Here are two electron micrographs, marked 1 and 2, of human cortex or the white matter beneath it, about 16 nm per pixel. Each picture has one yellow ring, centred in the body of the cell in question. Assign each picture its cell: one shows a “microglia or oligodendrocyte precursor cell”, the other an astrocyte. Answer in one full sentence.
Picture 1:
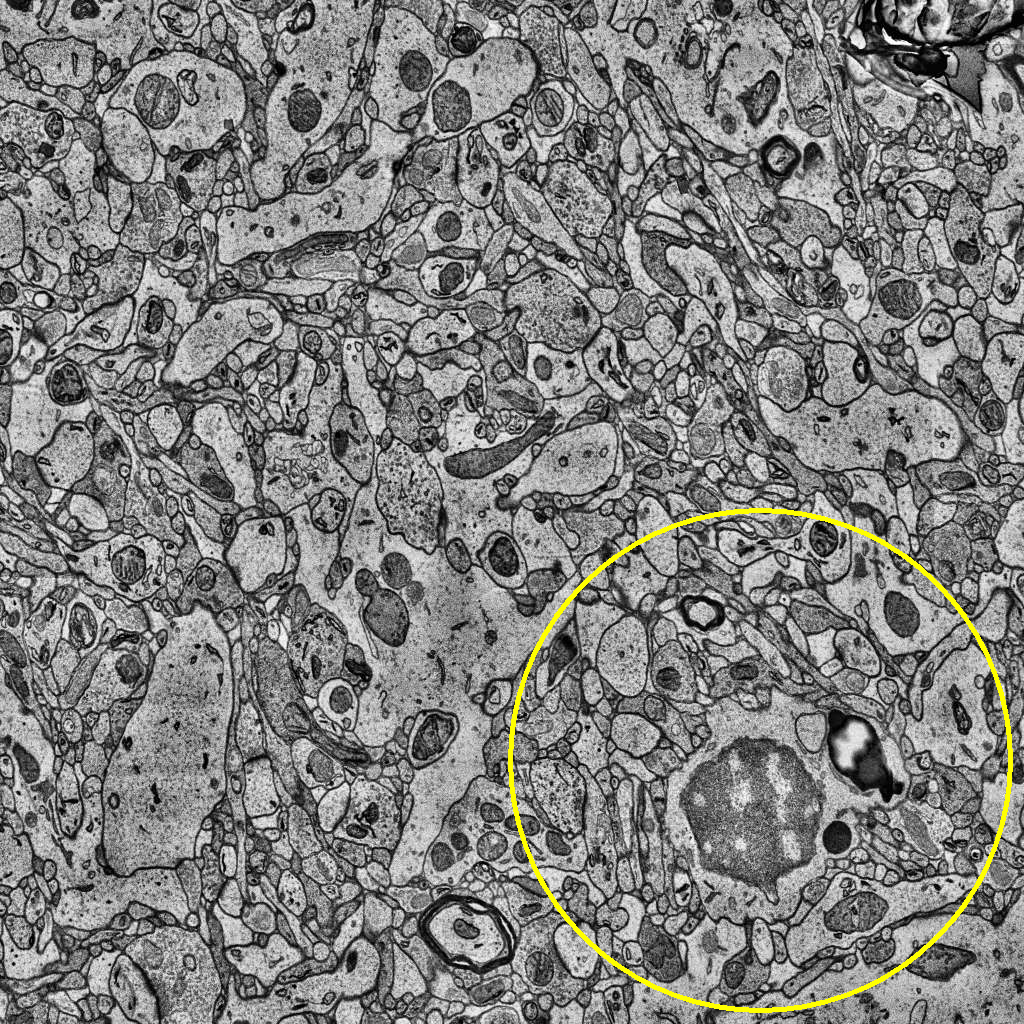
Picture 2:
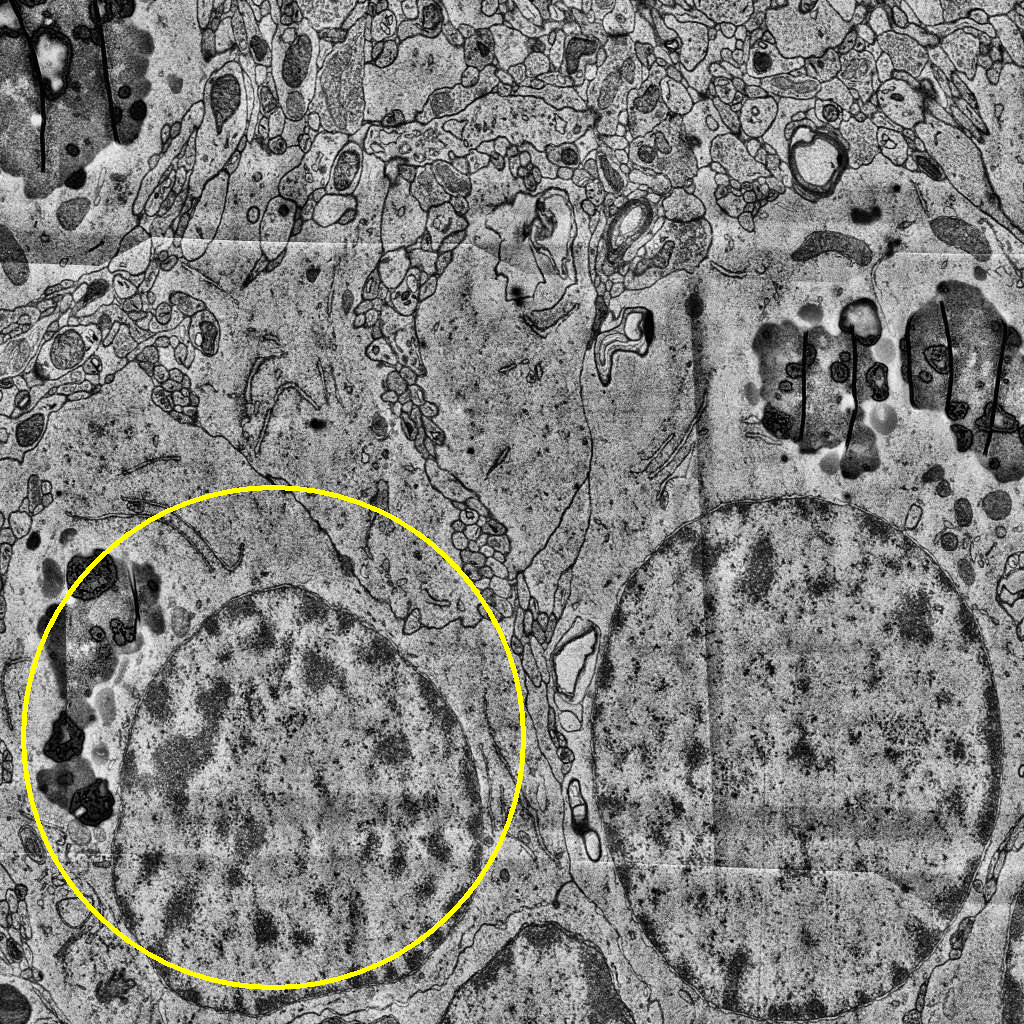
Picture 1 shows a “microglia or oligodendrocyte precursor cell” and picture 2 shows an astrocyte.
